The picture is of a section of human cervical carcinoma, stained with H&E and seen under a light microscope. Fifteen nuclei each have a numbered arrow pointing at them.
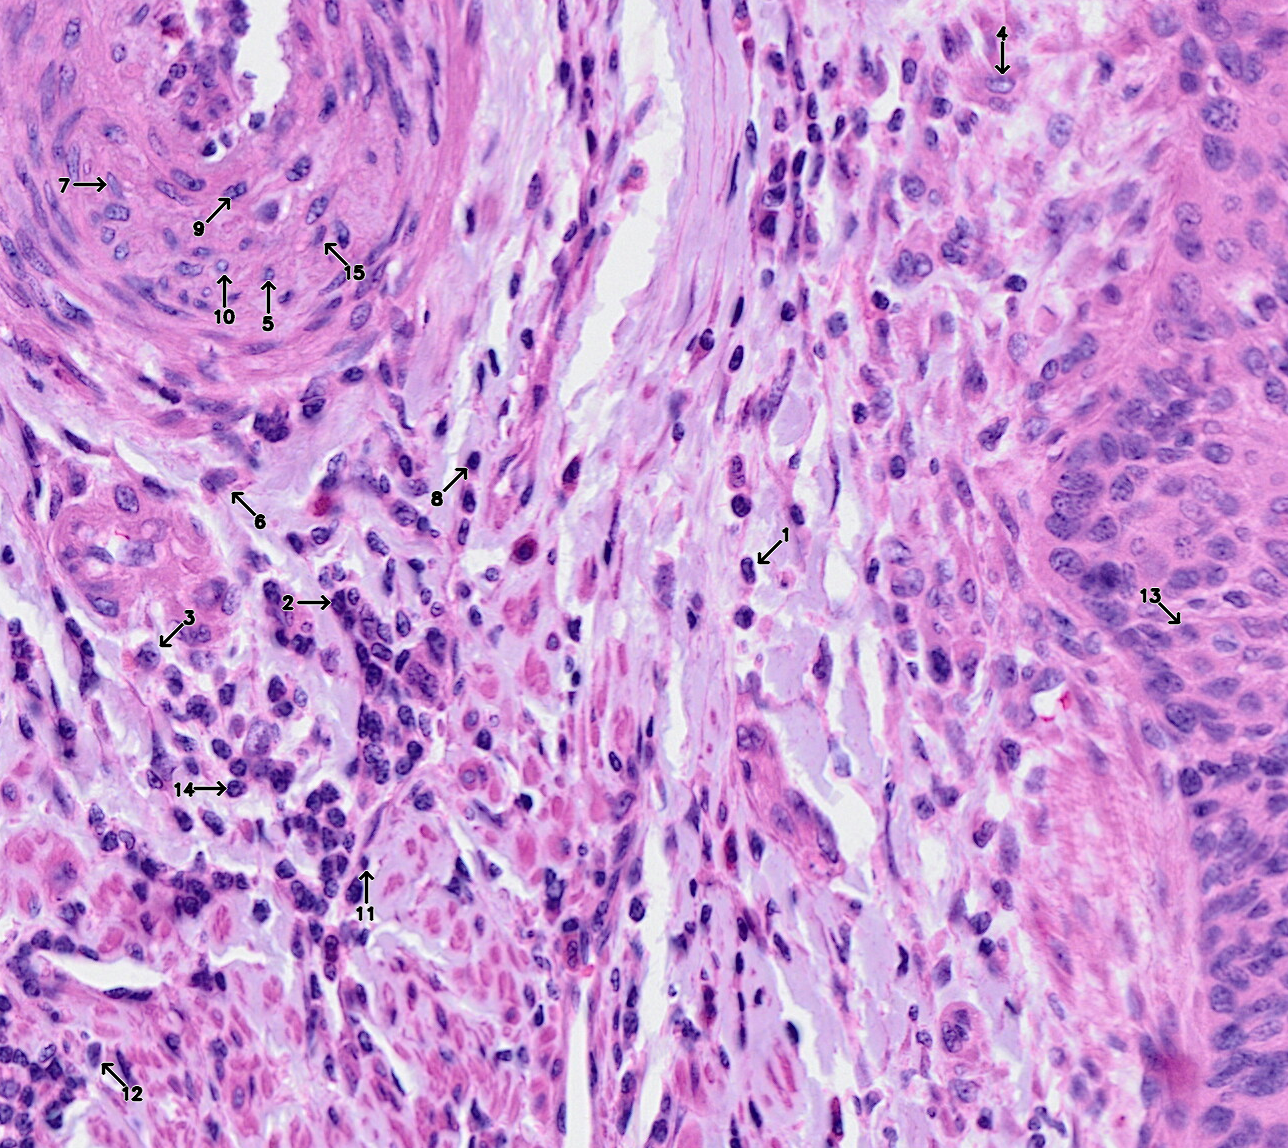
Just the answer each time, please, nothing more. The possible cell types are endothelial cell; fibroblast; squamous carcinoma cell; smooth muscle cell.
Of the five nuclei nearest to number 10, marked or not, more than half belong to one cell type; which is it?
smooth muscle cell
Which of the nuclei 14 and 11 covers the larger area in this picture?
14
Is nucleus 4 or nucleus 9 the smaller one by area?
9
